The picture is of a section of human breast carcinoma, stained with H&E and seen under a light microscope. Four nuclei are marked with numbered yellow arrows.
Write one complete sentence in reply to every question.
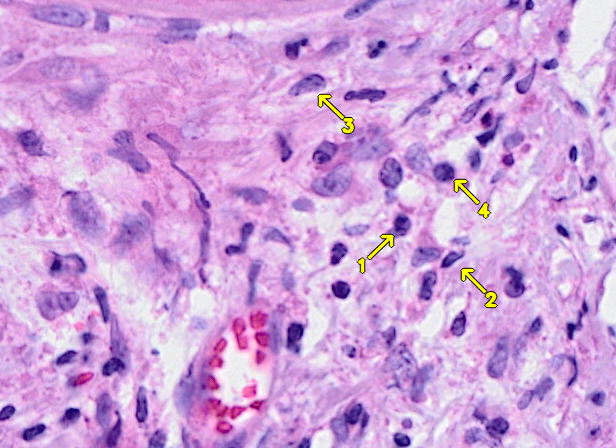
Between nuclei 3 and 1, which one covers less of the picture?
Nucleus 1 covers less area, with nucleus 3 about 1.5 times as large.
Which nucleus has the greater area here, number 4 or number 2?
Of the two, number 4 is bigger and takes up about 1.5 times the area of number 2.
